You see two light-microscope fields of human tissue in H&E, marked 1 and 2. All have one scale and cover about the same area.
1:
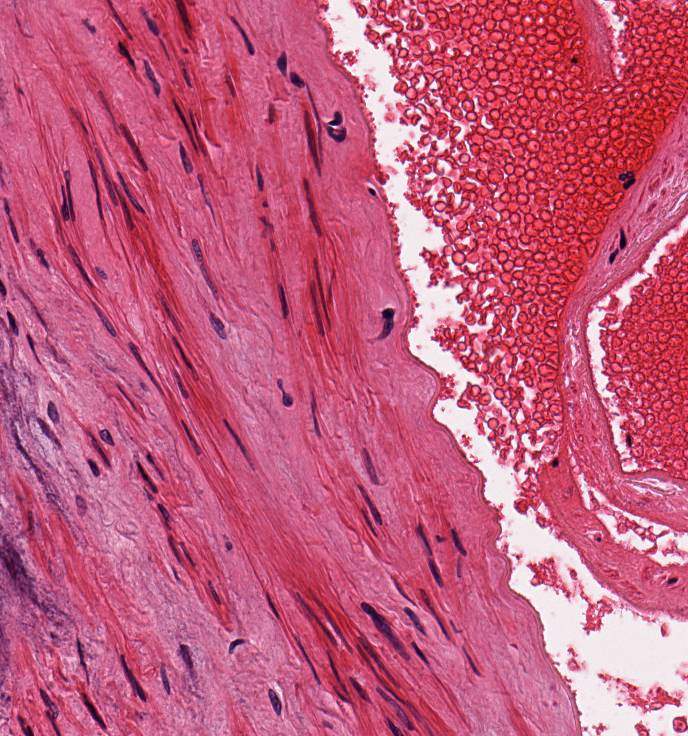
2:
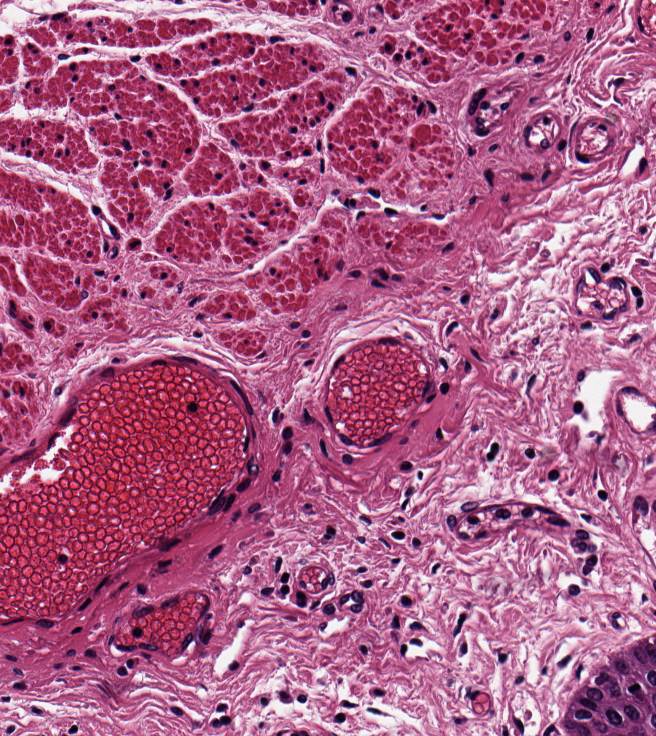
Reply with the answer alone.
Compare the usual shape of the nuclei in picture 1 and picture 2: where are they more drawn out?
1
